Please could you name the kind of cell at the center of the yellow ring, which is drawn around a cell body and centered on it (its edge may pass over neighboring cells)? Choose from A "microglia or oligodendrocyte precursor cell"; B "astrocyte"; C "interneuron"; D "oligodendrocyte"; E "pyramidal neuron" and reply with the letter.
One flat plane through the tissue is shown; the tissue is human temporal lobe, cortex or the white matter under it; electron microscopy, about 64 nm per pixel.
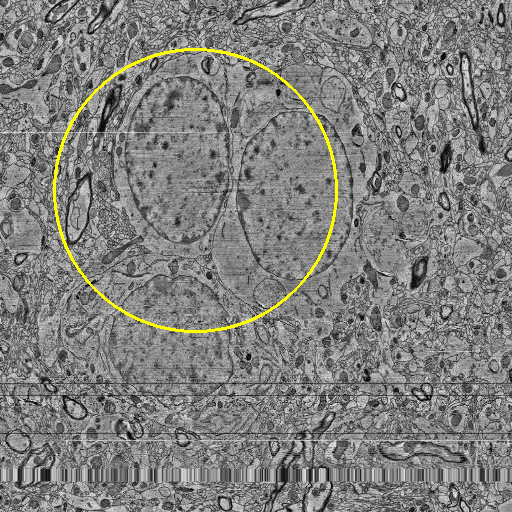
B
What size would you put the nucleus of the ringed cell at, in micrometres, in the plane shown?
Roughly 11 by 7 micrometers, clearly longer than it is wide in this plane.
